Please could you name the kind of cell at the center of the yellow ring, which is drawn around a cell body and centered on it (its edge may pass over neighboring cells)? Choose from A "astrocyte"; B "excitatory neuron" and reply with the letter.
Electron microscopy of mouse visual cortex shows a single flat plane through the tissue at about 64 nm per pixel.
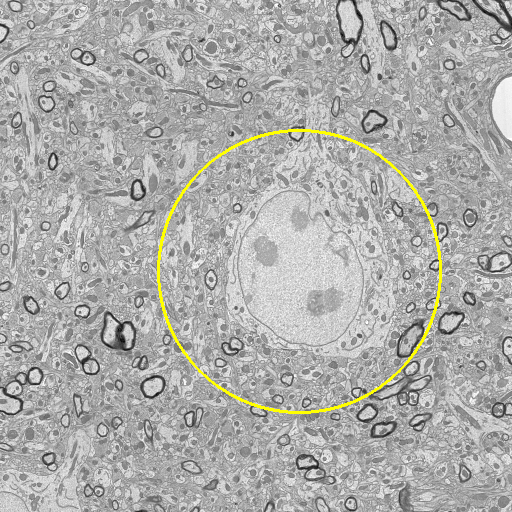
B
